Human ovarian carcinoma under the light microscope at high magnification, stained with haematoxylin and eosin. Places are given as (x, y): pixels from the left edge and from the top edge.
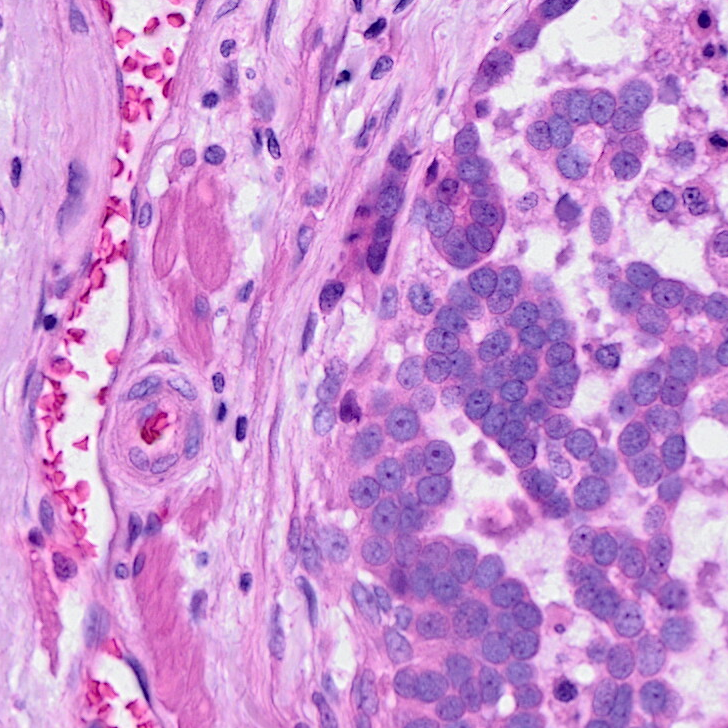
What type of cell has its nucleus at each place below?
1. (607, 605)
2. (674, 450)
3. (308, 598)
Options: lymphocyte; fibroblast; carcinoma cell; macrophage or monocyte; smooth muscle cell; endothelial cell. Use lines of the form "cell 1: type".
cell 1: carcinoma cell
cell 2: carcinoma cell
cell 3: fibroblast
